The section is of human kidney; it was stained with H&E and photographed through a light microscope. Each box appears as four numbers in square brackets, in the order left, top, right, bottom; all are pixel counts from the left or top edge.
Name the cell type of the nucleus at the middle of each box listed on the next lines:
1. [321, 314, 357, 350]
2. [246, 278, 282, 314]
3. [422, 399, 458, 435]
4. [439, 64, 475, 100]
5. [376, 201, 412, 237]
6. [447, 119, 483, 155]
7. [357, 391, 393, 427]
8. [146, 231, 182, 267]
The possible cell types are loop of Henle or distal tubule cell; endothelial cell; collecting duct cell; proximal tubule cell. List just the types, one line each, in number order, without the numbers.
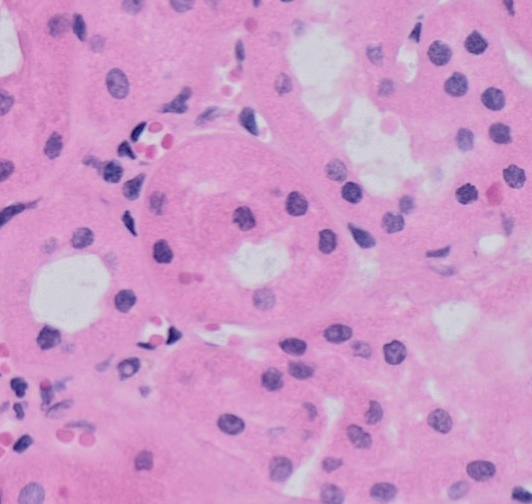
proximal tubule cell
proximal tubule cell
proximal tubule cell
loop of Henle or distal tubule cell
loop of Henle or distal tubule cell
loop of Henle or distal tubule cell
proximal tubule cell
proximal tubule cell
